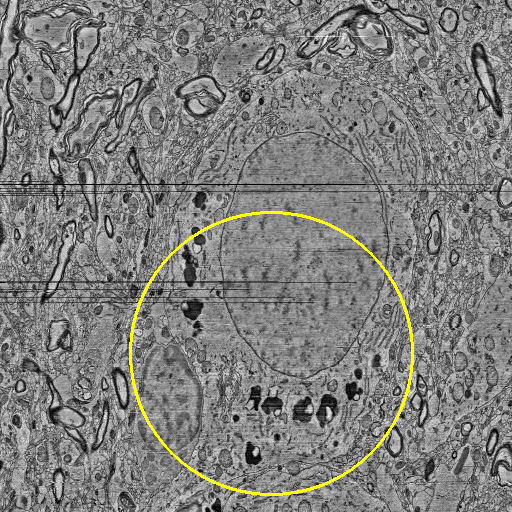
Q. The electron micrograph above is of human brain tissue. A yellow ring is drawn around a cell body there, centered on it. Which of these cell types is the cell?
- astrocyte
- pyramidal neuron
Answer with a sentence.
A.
The cell under the ring's center is a pyramidal neuron.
